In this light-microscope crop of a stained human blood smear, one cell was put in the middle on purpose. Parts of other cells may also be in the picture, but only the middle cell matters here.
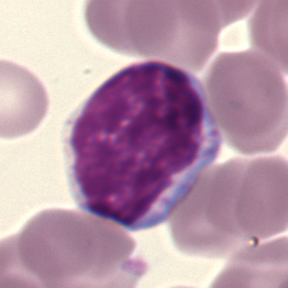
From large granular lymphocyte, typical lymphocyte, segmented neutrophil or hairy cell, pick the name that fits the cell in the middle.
large granular lymphocyte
